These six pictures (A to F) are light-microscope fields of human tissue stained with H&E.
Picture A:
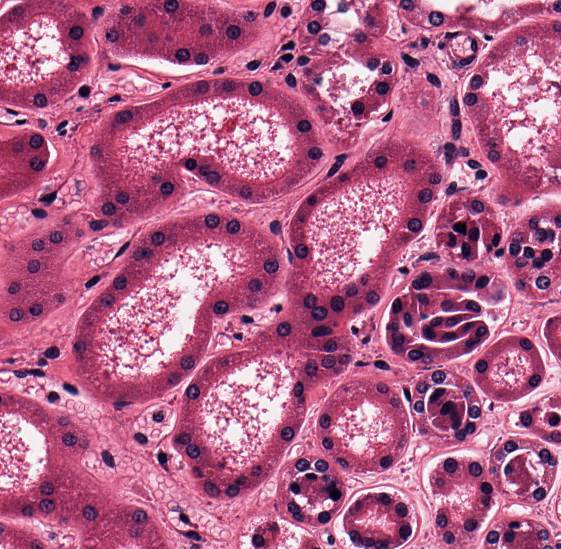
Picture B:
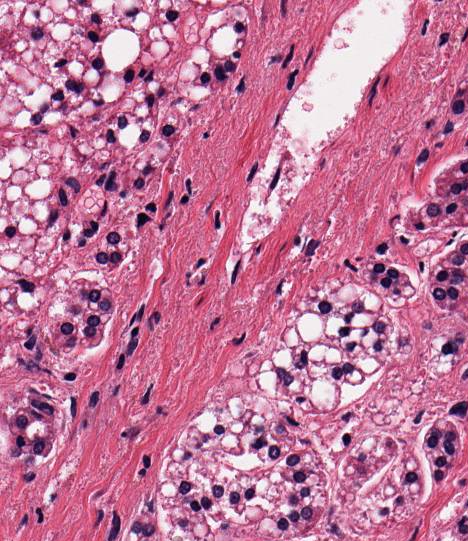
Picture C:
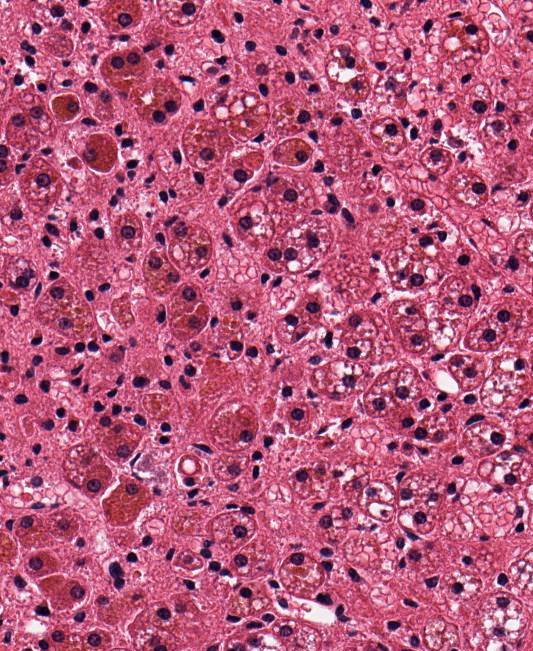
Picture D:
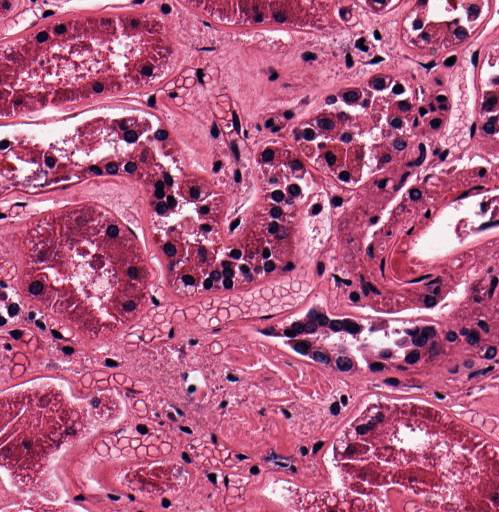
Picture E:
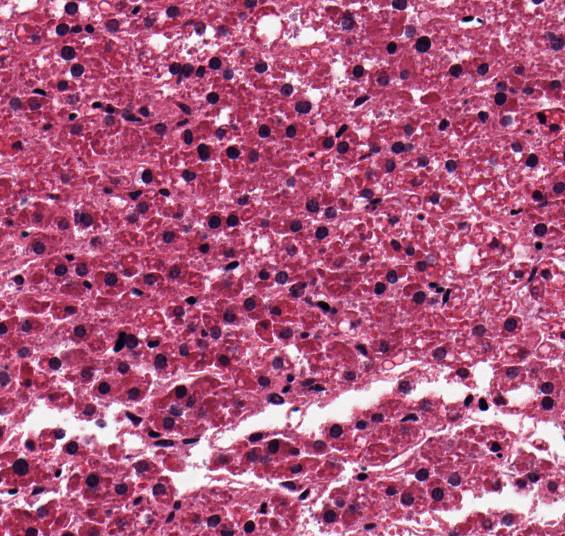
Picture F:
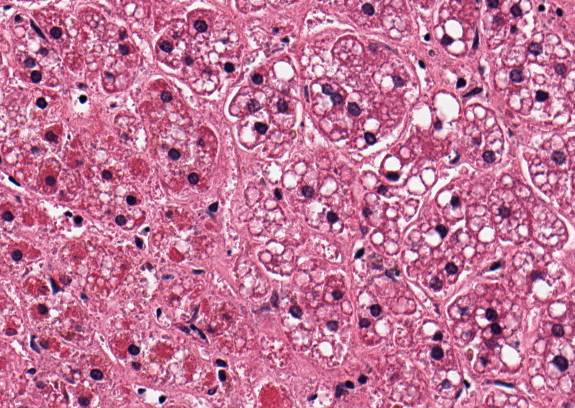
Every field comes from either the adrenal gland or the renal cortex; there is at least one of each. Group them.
A: renal cortex
B: adrenal gland
C: adrenal gland
D: renal cortex
E: adrenal gland
F: adrenal gland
